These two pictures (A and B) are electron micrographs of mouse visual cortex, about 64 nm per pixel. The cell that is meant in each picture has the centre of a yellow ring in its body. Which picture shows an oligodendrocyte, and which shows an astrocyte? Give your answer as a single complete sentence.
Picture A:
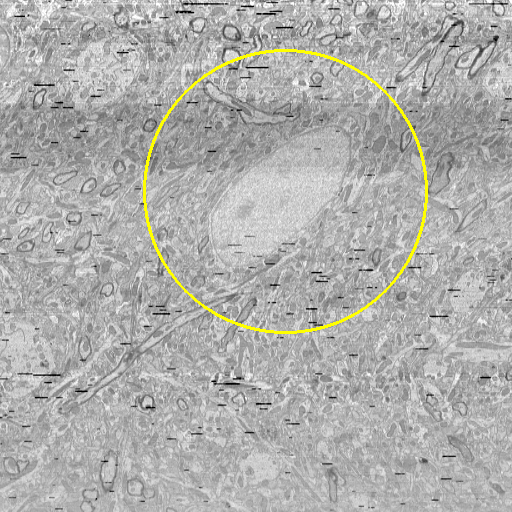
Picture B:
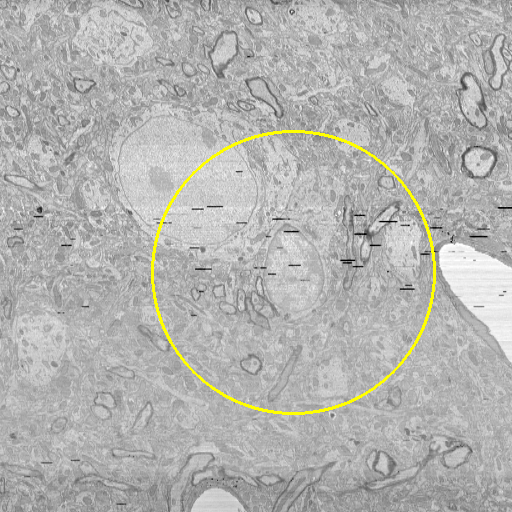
It is picture A that shows an astrocyte, and picture B that shows an oligodendrocyte.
